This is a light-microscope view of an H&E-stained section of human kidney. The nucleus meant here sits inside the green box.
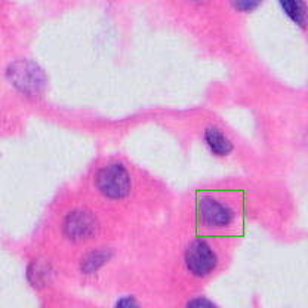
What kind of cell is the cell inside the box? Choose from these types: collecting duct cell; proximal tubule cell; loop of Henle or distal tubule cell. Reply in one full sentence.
The cell inside the box is a loop of Henle or distal tubule cell.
